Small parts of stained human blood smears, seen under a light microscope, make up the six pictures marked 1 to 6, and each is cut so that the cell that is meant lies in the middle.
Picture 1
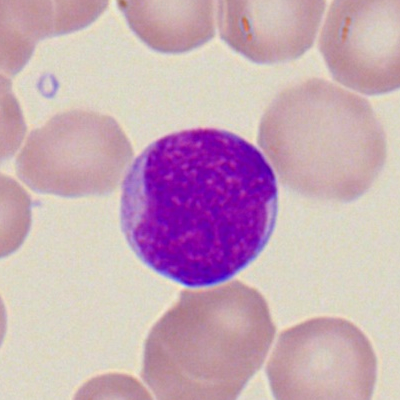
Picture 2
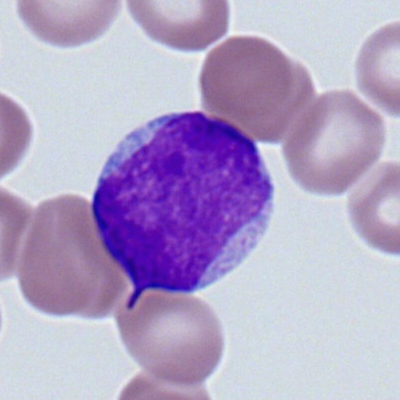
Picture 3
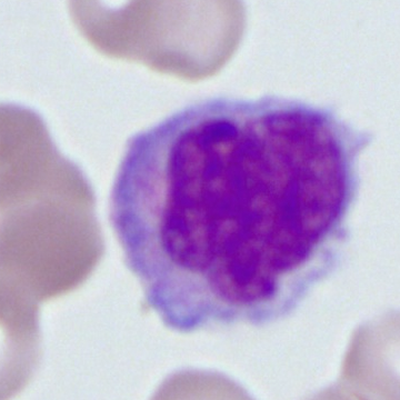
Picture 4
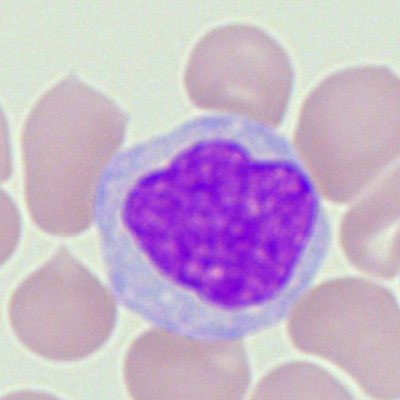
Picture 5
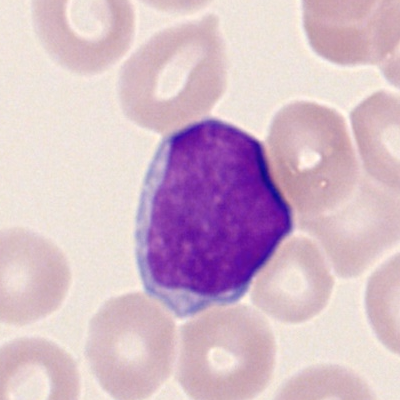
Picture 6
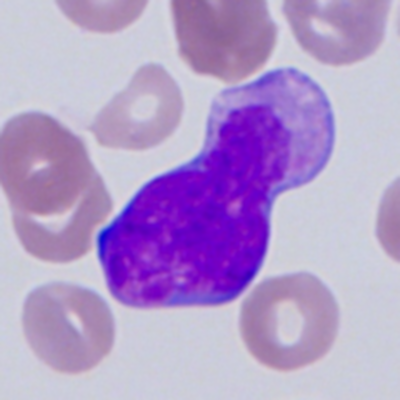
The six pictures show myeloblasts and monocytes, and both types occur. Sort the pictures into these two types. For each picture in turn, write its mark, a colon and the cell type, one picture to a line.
1: myeloblast
2: myeloblast
3: monocyte
4: monocyte
5: myeloblast
6: myeloblast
